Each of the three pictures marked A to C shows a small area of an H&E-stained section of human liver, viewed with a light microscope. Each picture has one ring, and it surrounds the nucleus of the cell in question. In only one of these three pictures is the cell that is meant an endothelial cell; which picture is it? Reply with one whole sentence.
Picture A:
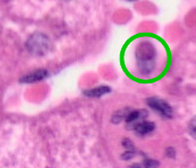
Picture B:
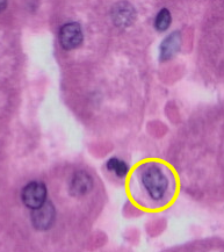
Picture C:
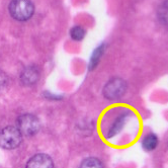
It is picture C that shows the endothelial cell.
